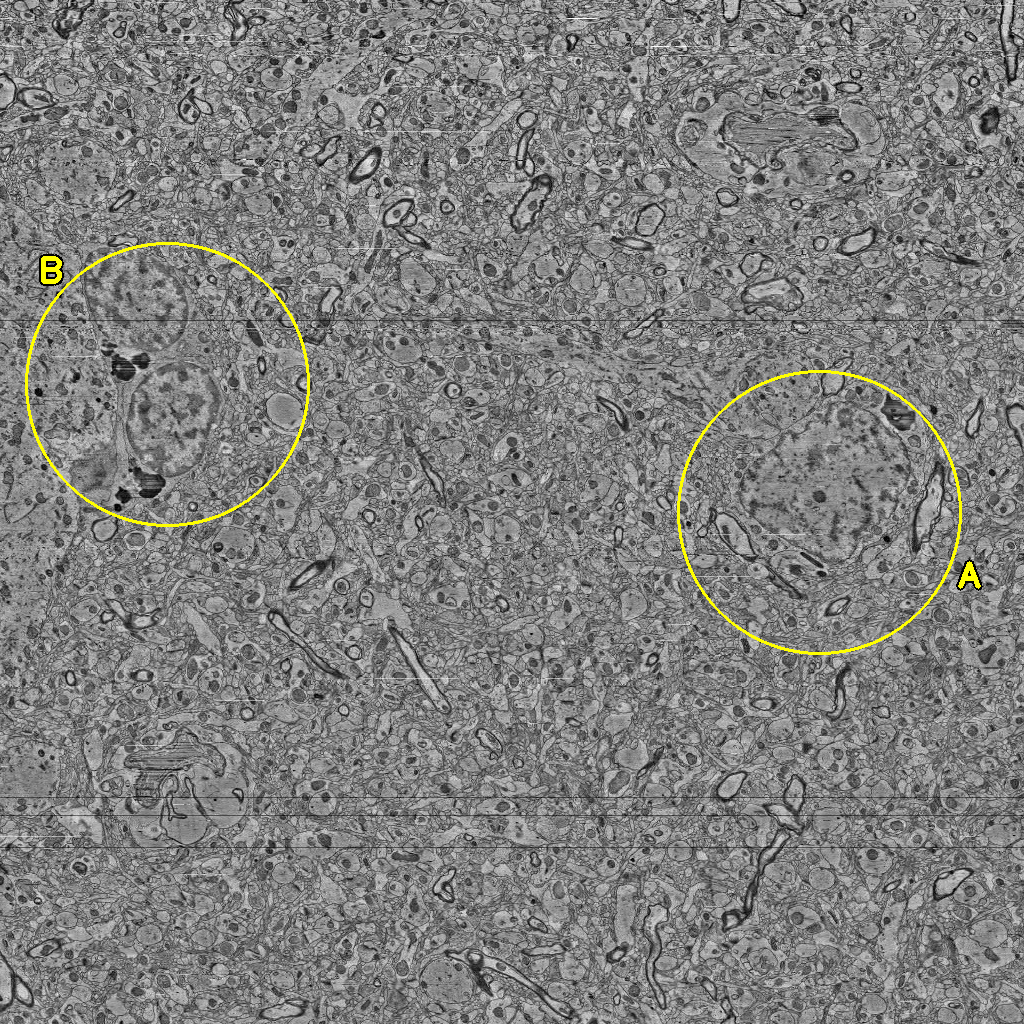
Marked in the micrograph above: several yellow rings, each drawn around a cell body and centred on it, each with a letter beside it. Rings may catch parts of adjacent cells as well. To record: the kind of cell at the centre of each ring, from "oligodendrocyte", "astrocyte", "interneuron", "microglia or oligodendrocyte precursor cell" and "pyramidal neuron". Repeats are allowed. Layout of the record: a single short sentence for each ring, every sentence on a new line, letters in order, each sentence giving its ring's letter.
At the centre of ring A lies an interneuron.
At the centre of ring B lies an oligodendrocyte.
